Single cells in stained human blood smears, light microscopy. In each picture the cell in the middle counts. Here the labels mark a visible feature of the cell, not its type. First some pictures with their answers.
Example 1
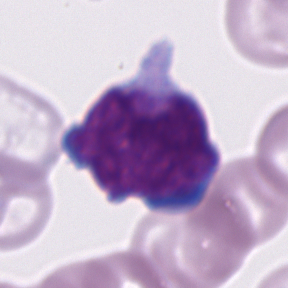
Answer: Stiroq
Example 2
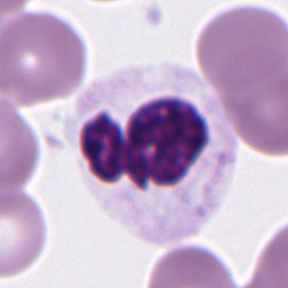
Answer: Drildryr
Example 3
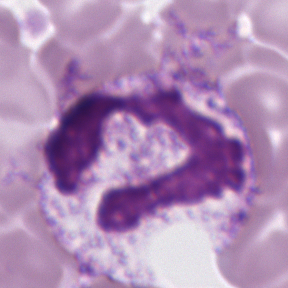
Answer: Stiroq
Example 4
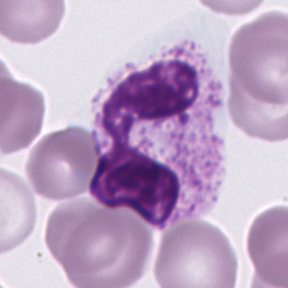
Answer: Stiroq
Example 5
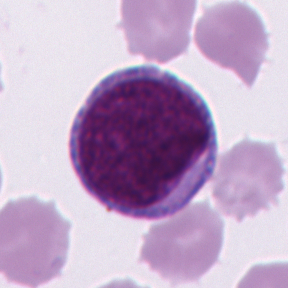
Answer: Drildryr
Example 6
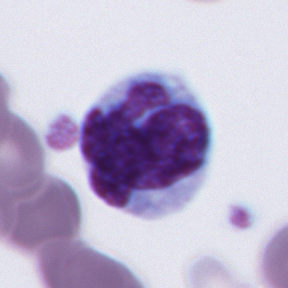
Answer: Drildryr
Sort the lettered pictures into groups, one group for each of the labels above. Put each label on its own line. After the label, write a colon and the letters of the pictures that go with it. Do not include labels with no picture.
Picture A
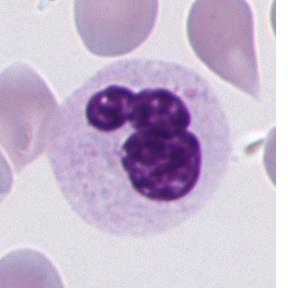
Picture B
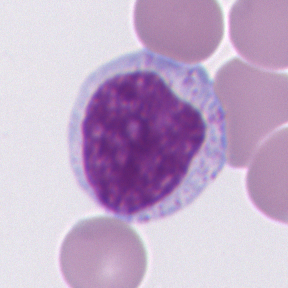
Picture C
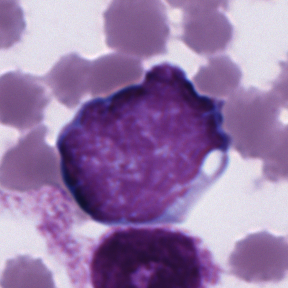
Stiroq: C
Drildryr: A, B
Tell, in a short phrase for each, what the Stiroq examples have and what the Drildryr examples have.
Stiroq: ragged outline or projections; Drildryr: smooth outline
